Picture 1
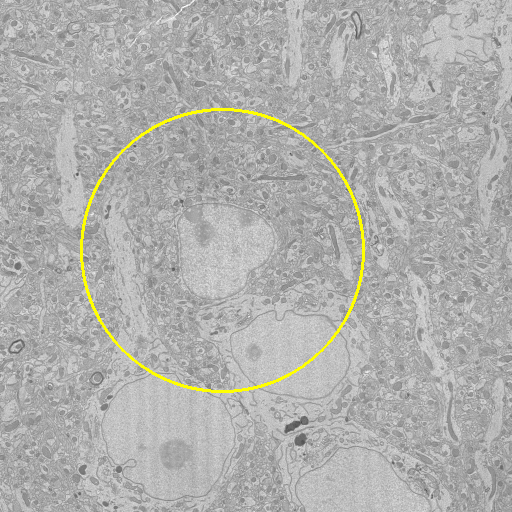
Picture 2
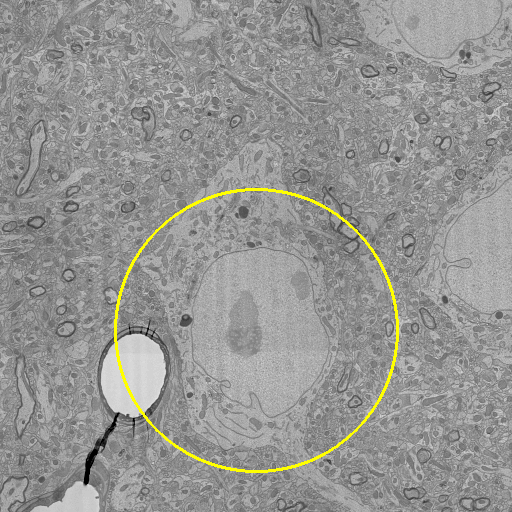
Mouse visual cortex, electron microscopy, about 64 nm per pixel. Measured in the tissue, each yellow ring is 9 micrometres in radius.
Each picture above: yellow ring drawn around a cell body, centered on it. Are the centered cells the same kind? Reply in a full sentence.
No, the two cells are two kinds of cell.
